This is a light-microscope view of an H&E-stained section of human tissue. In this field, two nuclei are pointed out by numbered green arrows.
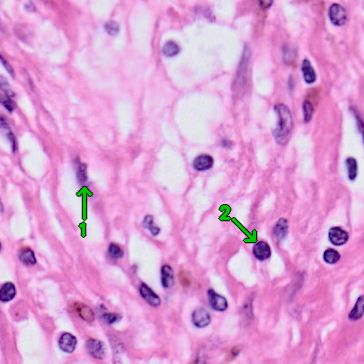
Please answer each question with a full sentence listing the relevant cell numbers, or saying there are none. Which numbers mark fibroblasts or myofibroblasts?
Unlike the other numbered cells, cell 1 is a fibroblast or myofibroblast.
